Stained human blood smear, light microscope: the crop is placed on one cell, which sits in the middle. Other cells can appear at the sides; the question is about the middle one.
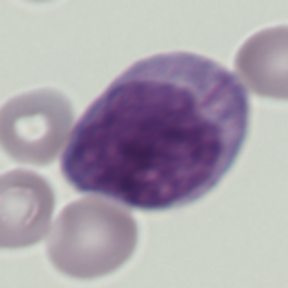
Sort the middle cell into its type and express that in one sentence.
The cell found in the middle of this crop is an atypical promyelocyte.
